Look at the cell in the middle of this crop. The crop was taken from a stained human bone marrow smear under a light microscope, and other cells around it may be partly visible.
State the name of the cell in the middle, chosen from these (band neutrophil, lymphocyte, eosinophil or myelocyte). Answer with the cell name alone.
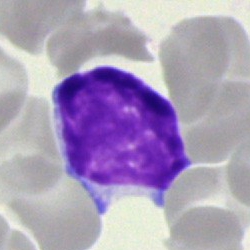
lymphocyte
